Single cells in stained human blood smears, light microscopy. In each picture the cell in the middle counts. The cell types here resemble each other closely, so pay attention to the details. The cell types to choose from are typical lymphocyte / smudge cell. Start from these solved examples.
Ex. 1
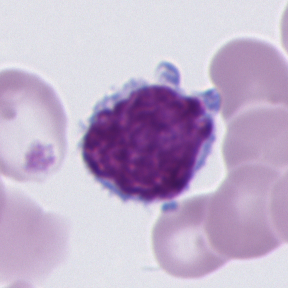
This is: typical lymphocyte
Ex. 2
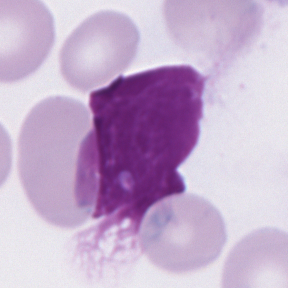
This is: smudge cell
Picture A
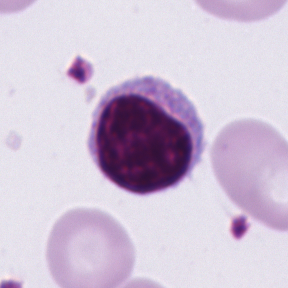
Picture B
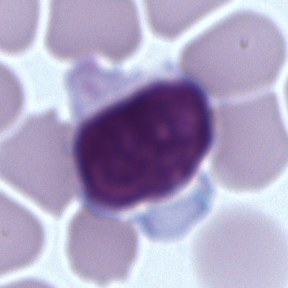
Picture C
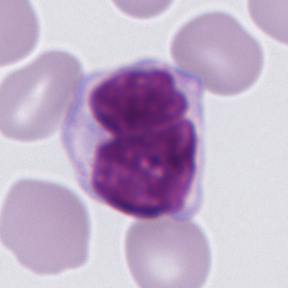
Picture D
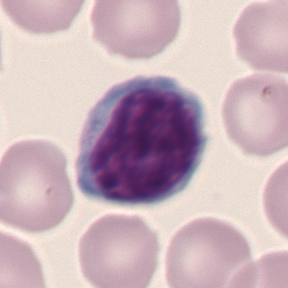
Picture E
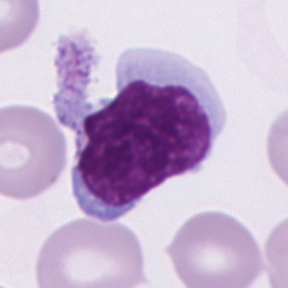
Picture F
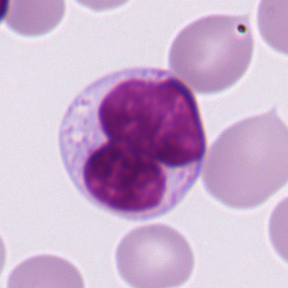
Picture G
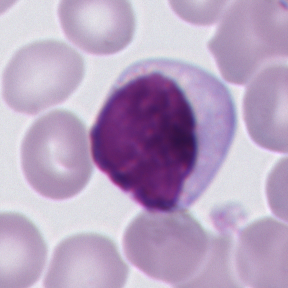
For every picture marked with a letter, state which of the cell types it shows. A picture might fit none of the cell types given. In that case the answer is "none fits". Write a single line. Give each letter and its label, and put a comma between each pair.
A typical lymphocyte, B typical lymphocyte, C none fits, D typical lymphocyte, E none fits, F none fits, G none fits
